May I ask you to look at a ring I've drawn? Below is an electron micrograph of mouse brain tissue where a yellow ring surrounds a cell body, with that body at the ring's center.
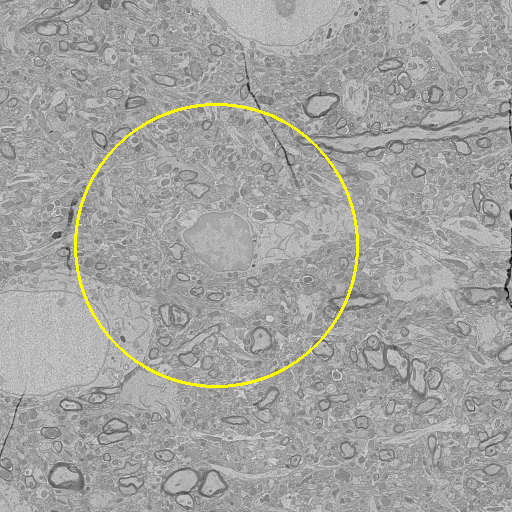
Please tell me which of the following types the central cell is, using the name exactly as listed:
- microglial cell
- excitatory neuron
microglial cell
